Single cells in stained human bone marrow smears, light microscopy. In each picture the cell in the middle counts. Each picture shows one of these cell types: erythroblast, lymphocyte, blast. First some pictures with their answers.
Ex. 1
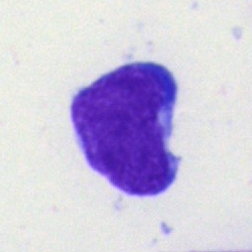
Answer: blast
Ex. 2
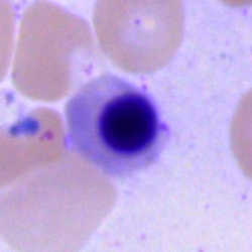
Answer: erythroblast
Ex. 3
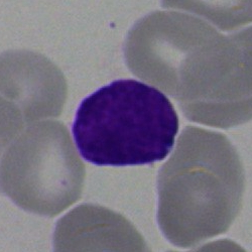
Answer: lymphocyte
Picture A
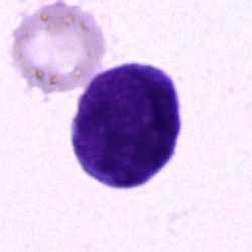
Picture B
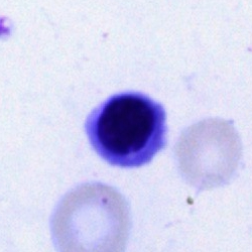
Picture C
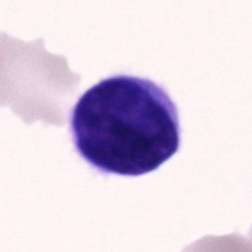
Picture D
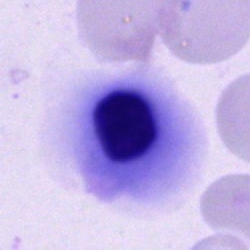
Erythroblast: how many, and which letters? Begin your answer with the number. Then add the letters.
2, namely B, D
